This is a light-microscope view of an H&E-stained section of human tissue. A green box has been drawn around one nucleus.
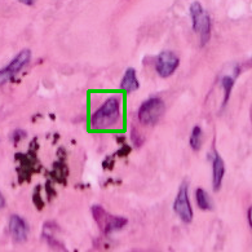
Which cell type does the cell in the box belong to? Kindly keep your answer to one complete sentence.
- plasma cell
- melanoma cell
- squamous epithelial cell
The cell type represented by the cell in the box is that of a plasma cell.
